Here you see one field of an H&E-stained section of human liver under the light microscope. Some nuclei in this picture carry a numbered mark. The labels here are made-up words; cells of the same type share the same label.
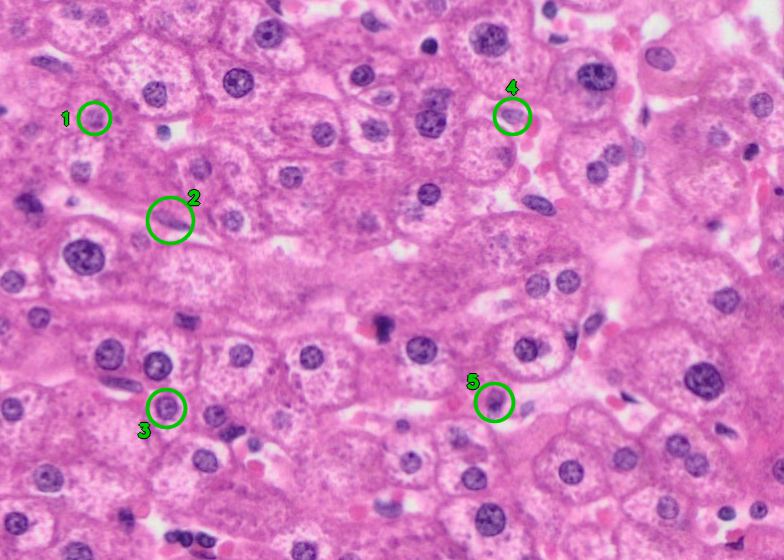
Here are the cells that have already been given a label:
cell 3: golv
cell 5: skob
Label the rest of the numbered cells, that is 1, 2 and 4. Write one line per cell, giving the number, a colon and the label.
1: golv
2: skob
4: skob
